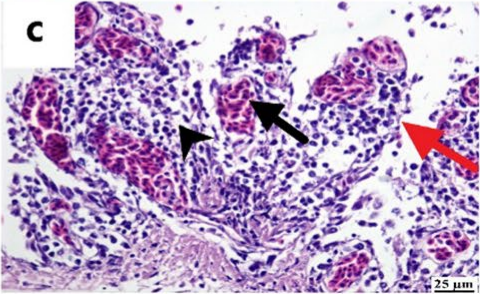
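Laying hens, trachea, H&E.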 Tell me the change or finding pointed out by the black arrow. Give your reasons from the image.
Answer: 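Congested blood vessels. Large vessels are filled with tightly packed red-stained erythrocytes.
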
